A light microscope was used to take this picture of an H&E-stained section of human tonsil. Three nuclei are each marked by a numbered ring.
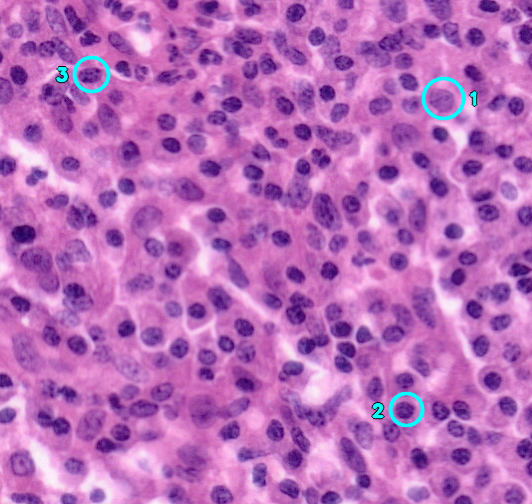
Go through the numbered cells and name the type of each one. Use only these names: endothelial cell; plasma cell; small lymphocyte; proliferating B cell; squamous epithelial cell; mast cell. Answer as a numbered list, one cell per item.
1. squamous epithelial cell
2. plasma cell
3. plasma cell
